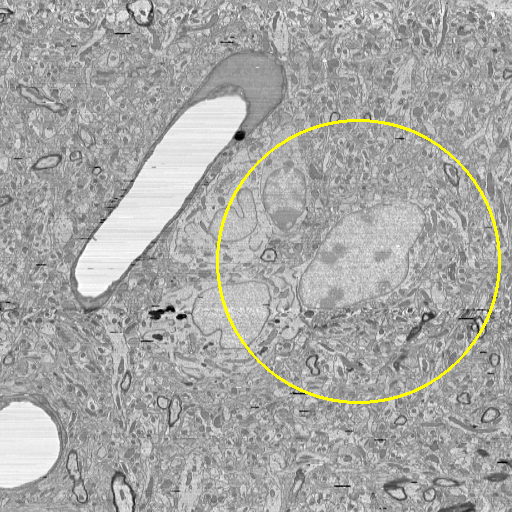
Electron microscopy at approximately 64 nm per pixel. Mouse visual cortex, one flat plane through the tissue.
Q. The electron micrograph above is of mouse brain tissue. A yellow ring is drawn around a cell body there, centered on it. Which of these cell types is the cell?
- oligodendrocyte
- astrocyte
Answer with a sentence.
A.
The cell under the ring's center is an astrocyte.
